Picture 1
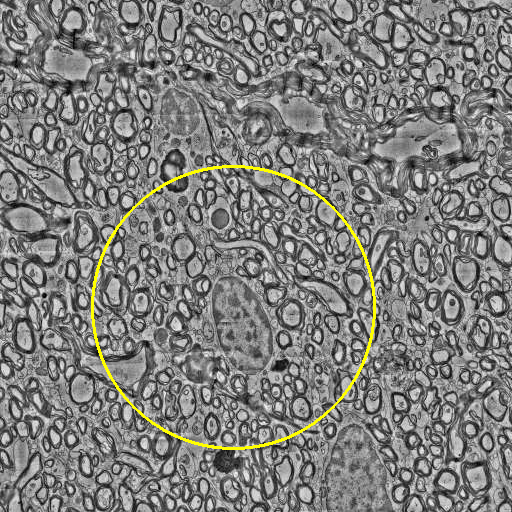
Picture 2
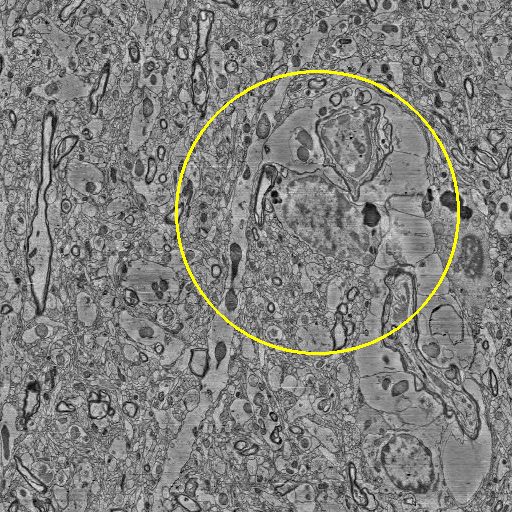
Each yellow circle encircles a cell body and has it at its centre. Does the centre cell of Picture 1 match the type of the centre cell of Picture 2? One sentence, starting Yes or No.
No, the cell centred in Picture 1 and the one in Picture 2 have separate types.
